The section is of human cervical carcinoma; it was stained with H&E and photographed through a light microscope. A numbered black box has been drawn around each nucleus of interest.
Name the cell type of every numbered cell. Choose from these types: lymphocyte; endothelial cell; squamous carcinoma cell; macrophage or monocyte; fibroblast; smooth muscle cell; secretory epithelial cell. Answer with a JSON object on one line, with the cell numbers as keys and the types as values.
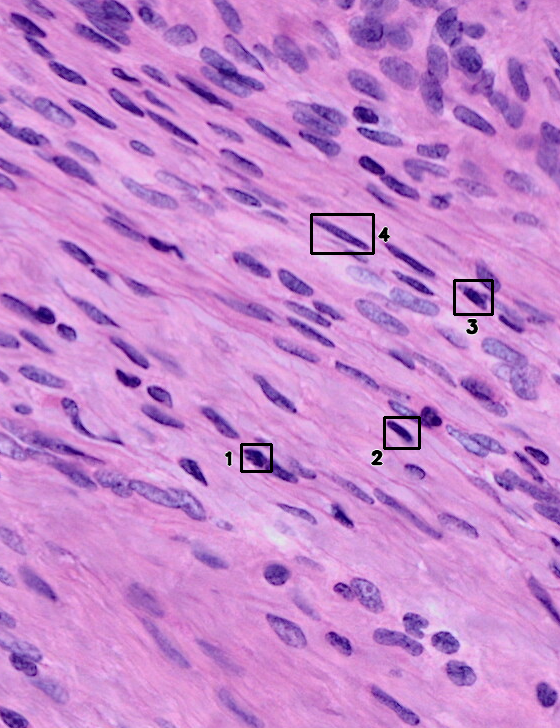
{"1": "lymphocyte", "2": "lymphocyte", "3": "lymphocyte", "4": "fibroblast"}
